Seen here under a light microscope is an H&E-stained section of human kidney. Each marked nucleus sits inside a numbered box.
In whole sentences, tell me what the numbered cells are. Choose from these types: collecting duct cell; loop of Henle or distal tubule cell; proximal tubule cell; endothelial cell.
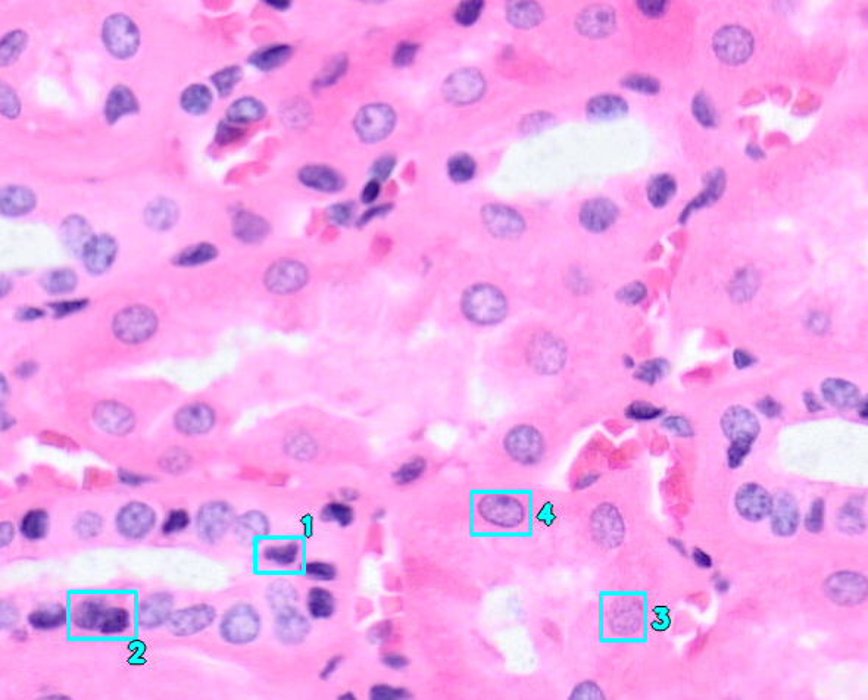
Cells 1 and 2 are collecting duct cells. Cells 3 and 4 are proximal tubule cells.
